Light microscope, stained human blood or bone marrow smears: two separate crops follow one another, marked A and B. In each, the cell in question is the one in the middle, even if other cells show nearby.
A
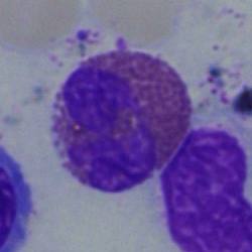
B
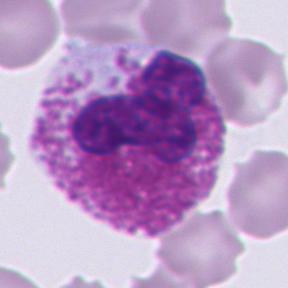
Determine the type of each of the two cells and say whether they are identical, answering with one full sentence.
Yes, both crops in this set show eosinophils.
